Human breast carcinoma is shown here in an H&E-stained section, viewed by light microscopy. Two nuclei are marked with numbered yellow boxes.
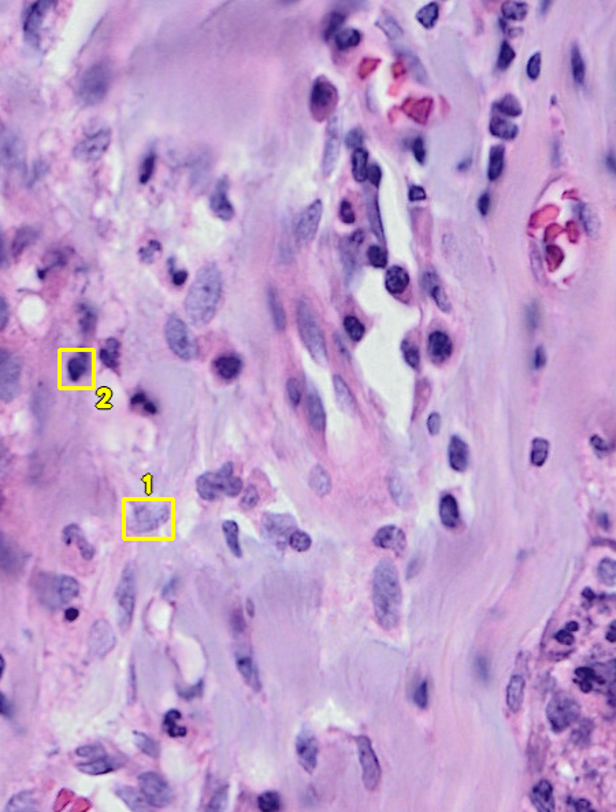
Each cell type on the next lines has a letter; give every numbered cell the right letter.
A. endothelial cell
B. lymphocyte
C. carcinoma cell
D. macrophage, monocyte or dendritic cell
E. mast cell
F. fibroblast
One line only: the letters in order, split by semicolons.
F; B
